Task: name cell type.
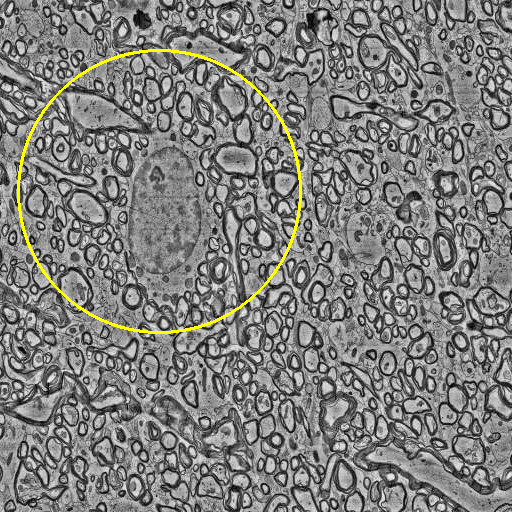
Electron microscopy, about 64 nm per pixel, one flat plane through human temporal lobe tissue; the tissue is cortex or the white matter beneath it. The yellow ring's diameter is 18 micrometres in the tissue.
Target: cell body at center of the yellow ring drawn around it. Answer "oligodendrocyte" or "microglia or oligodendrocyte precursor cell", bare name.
oligodendrocyte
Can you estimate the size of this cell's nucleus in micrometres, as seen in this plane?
The ringed cell's nucleus is roughly 8 by 5 micrometres and clearly longer than it is wide in this plane.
